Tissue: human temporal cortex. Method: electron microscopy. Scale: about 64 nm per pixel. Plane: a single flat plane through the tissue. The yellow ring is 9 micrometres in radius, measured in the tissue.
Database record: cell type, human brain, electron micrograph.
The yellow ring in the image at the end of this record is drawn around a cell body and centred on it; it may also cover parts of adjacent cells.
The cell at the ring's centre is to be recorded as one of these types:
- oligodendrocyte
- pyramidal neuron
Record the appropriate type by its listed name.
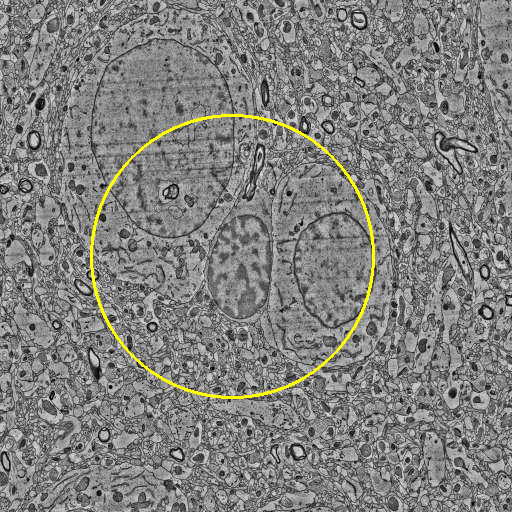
oligodendrocyte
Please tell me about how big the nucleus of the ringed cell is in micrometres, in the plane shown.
In this plane the nucleus measures about 7 by 4 micrometres and is clearly longer than it is wide.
